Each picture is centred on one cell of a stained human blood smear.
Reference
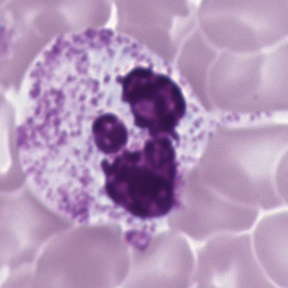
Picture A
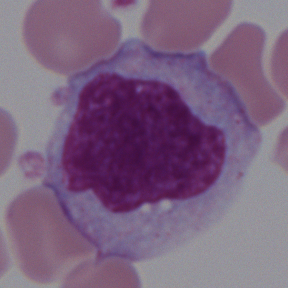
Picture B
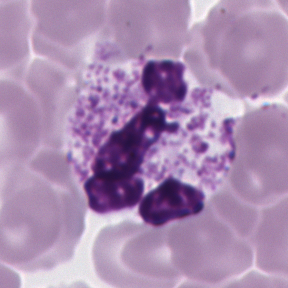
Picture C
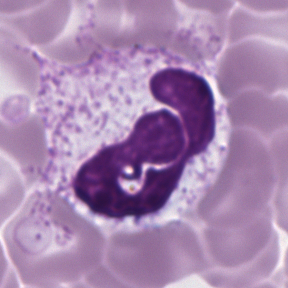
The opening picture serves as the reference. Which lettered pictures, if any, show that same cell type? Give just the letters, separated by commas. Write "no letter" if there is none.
B, C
